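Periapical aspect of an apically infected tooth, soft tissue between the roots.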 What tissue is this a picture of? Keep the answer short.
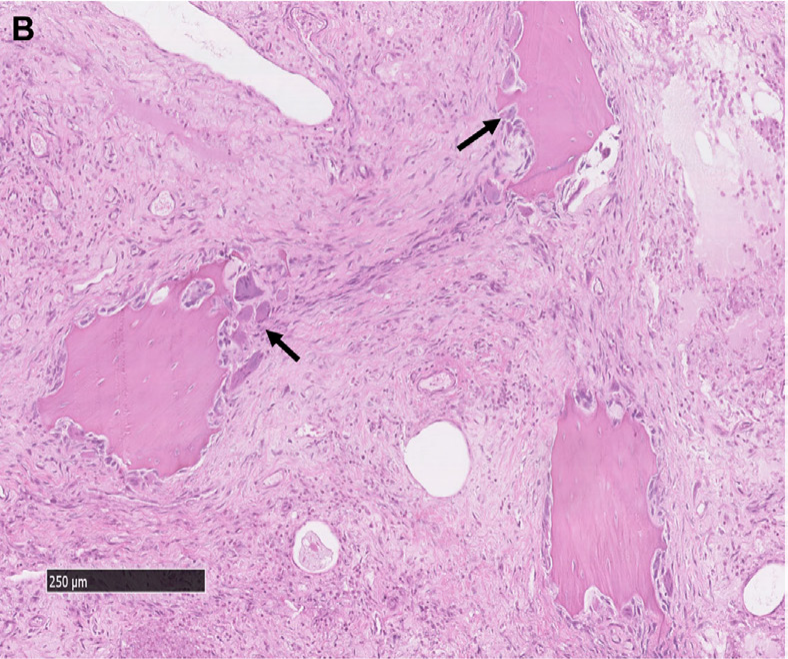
Islands of alveolar bone.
